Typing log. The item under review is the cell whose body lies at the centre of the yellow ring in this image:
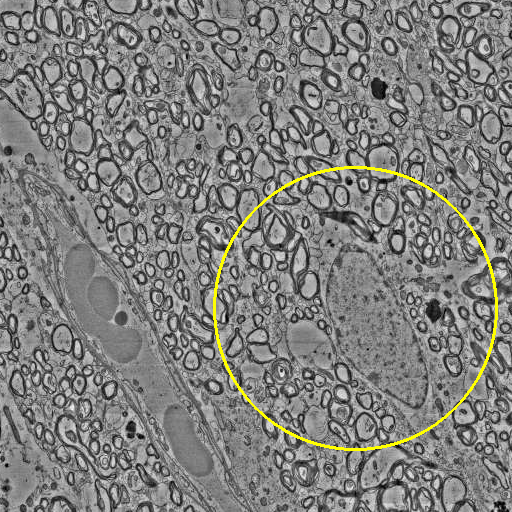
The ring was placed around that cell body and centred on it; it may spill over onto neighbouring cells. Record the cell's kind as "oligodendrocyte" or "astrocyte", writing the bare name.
astrocyte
